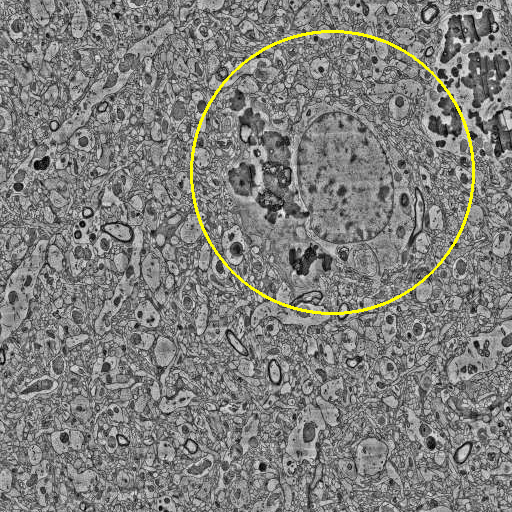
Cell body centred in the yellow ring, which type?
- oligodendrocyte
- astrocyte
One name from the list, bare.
astrocyte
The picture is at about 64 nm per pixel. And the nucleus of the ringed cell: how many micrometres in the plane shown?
In this plane the nucleus measures roughly 8 by 6 micrometres.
